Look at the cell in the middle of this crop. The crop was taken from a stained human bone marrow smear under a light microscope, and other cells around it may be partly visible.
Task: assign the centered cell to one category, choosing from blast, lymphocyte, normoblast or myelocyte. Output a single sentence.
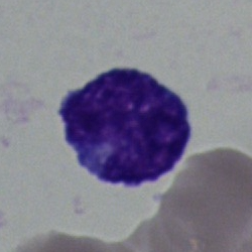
Classified as a blast is the cell in the middle of this crop.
